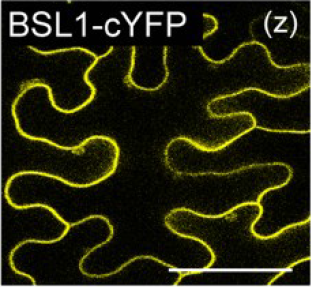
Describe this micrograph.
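These are leaf epidermal cells with deeply lobed, jigsaw-puzzle outlines interlocking into a continuous sheet. Yellow fluorescence traces the periphery of each cell as a smooth continuous line, following every lobe and indentation. The cell interiors are dark, so the signal sits at the cell membrane rather than within the cytoplasm or nucleus.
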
